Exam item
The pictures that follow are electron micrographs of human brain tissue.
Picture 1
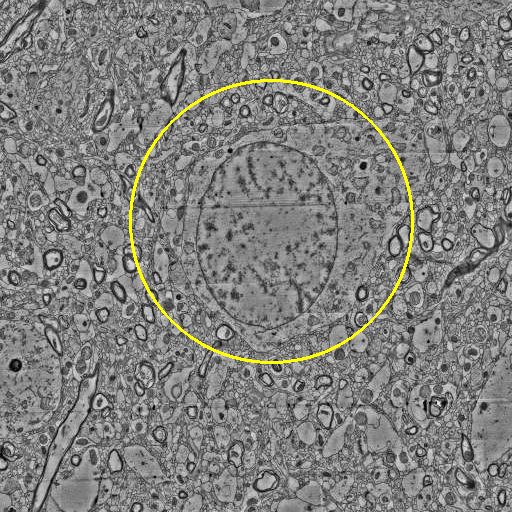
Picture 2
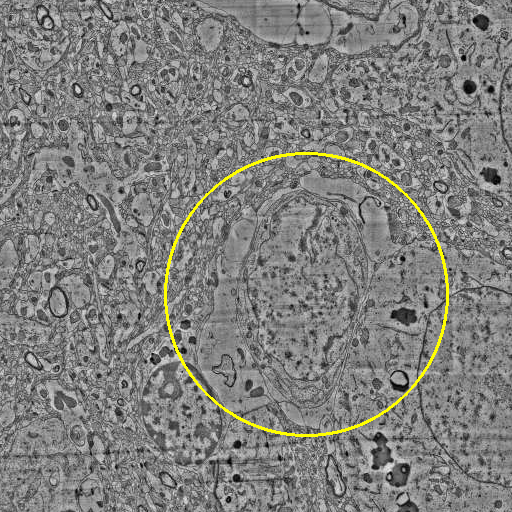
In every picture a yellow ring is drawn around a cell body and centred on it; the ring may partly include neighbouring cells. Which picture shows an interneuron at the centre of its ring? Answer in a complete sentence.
The cell at the centre of the ring in Picture 2 is the one asked for.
